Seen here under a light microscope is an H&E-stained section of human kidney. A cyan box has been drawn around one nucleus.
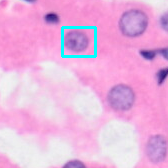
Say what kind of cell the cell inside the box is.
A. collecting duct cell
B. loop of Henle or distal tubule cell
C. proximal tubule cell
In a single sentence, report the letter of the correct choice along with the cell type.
In the section, the cell inside the box is a proximal tubule cell, and option C is correct accordingly.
